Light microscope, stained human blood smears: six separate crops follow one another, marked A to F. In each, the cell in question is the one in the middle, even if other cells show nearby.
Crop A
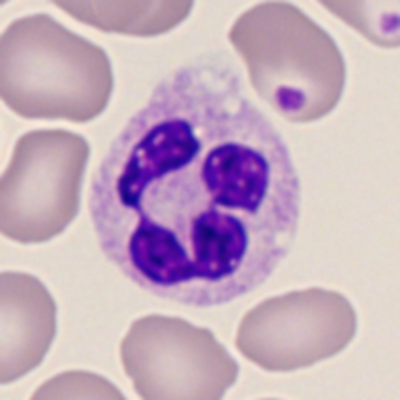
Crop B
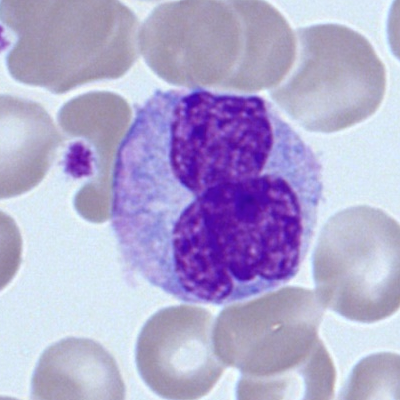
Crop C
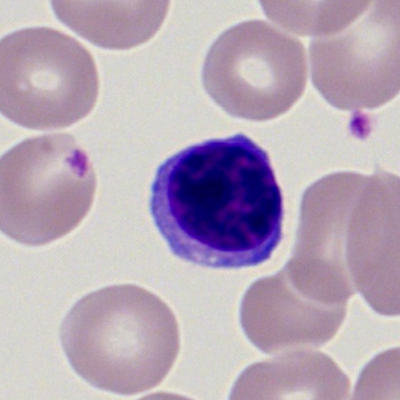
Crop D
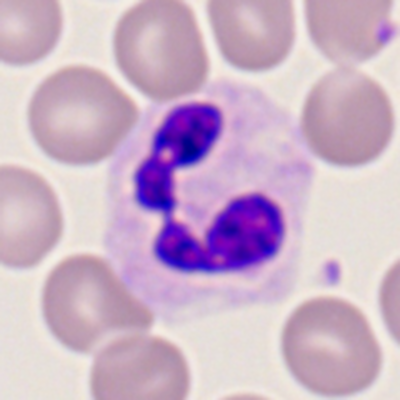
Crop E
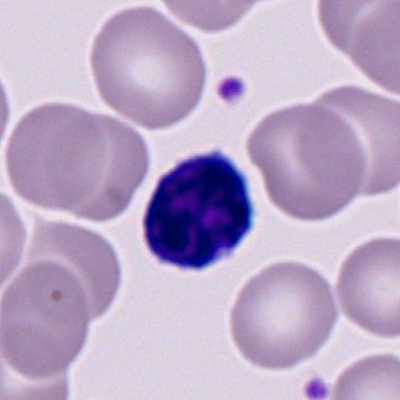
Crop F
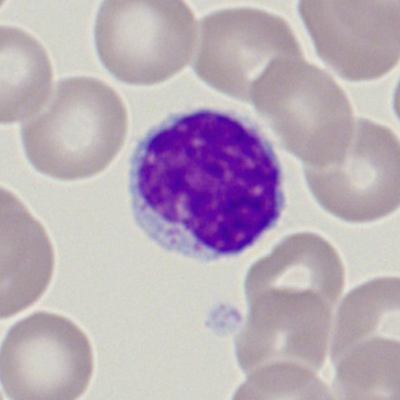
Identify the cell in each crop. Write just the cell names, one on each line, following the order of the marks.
segmented neutrophil
monocyte
lymphocyte
segmented neutrophil
lymphocyte
lymphocyte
